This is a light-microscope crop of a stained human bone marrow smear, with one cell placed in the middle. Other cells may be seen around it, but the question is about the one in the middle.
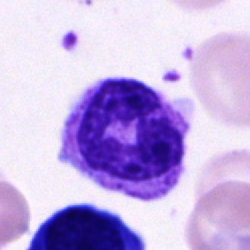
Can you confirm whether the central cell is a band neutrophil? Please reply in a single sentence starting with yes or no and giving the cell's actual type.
Yes, the cell that the crop is centred on is a band neutrophil.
